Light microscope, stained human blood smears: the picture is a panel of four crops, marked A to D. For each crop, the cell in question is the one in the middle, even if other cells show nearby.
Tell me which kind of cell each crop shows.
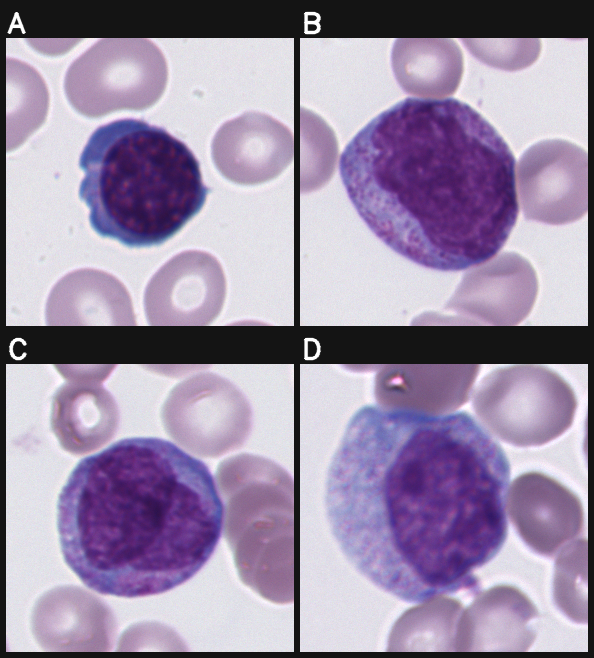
A: normoblast
B: promyelocyte
C: atypical promyelocyte
D: promyelocyte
